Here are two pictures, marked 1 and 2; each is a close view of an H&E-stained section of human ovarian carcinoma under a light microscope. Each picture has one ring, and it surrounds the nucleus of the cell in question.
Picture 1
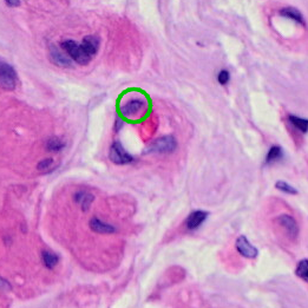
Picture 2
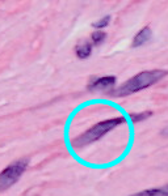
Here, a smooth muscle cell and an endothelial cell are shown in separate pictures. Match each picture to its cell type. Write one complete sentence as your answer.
Picture 2 shows a smooth muscle cell, while picture 1 shows an endothelial cell.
